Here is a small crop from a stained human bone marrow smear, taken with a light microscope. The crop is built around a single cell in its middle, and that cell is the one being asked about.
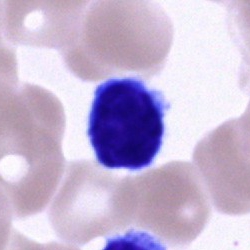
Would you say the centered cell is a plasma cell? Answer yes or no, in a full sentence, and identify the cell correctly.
No, the one in the center is not a plasma cell; it is a lymphocyte.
